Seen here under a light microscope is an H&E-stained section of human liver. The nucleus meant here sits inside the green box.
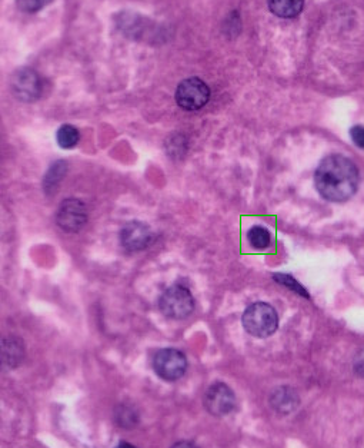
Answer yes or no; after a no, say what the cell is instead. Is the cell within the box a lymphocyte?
Yes.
